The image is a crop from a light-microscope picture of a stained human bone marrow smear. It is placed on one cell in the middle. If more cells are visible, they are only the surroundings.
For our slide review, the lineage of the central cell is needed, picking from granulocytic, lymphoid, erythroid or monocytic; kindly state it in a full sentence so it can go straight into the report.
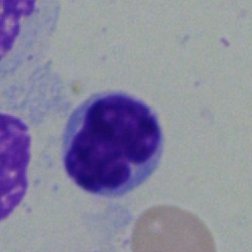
The lineage of the cell at the center of the crop is lymphoid.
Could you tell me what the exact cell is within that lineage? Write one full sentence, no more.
The crop's centre is taken up by a lymphocyte.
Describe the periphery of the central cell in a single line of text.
If you check the edge, you will find it smooth without projections.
